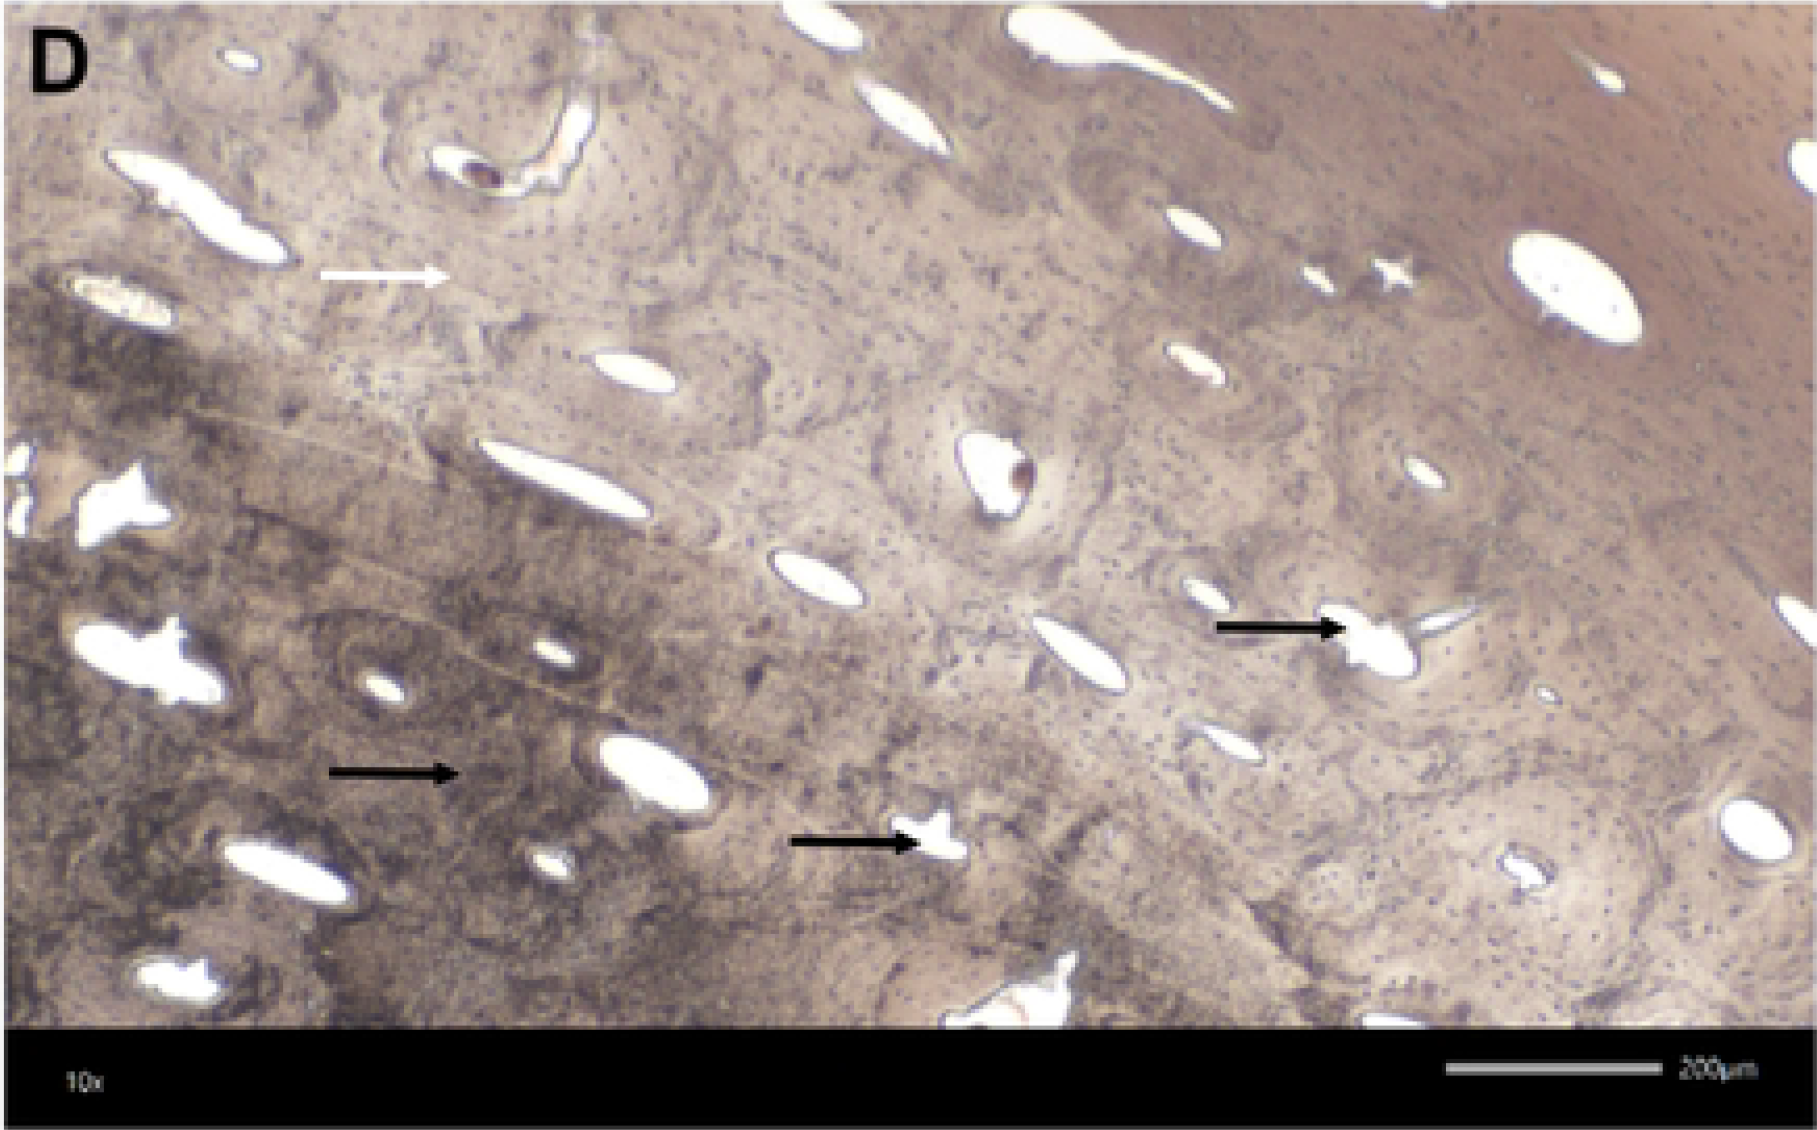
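This is a transverse thin section of compact bone in plain transmitted light, with many haversian canals seen as white, empty oval or irregular openings. Concentric lamellae surround many of the canals, and small dark osteocyte lacunae are densely scattered through the matrix. Several canals have jagged, irregular outlines, and the lower left part of the section is darkened to a mottled grey-brown while the upper right is paler tan.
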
